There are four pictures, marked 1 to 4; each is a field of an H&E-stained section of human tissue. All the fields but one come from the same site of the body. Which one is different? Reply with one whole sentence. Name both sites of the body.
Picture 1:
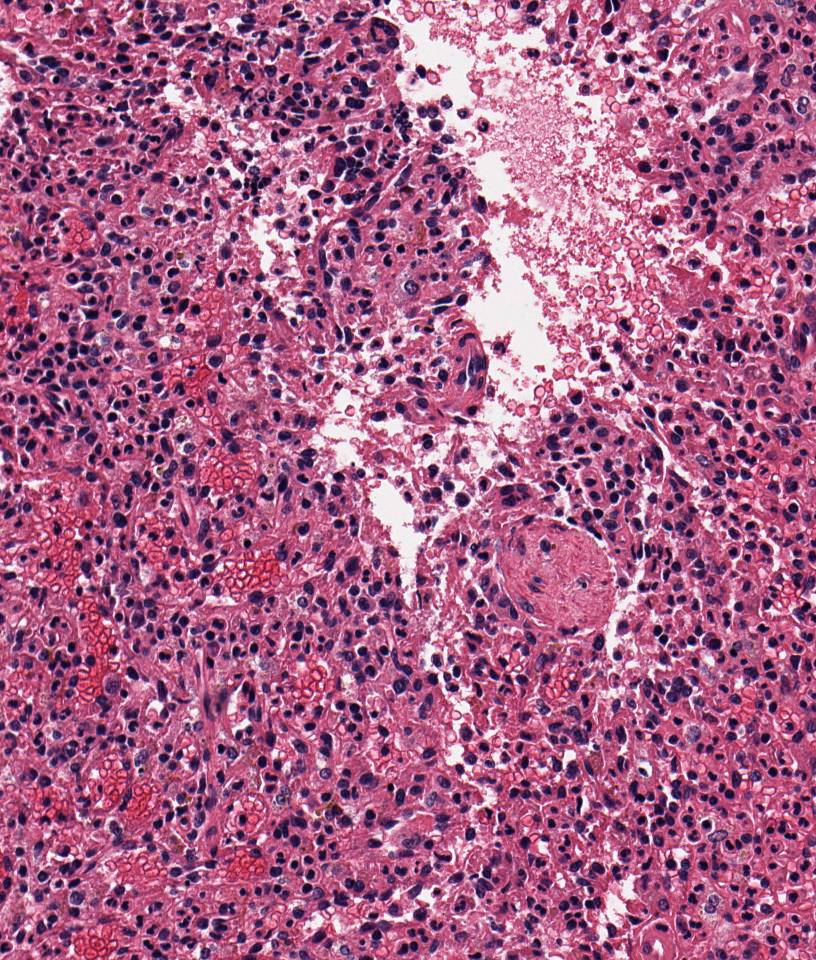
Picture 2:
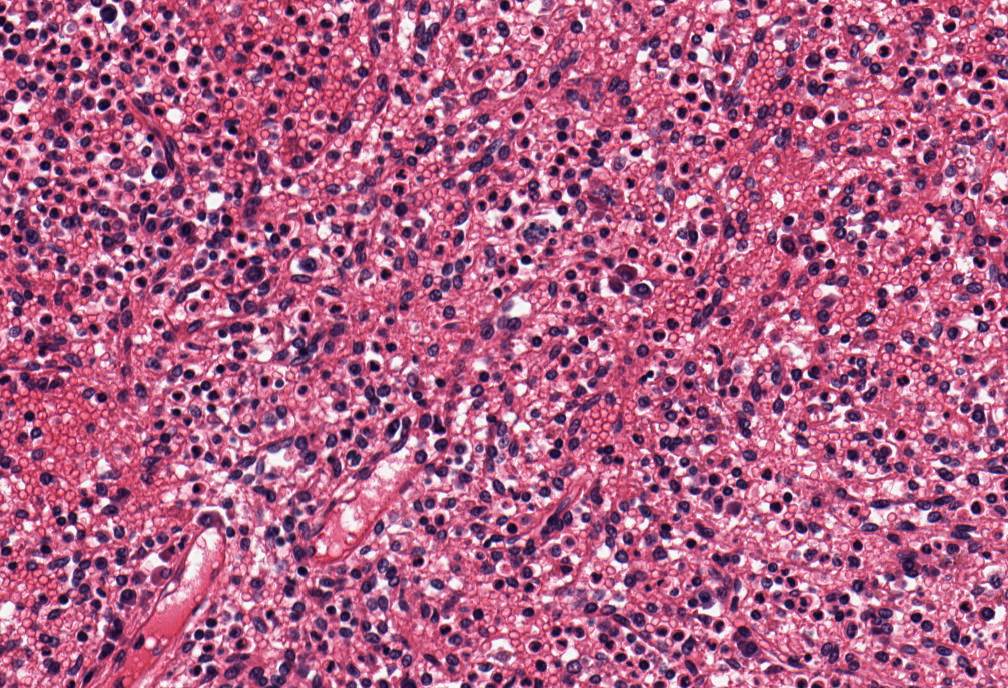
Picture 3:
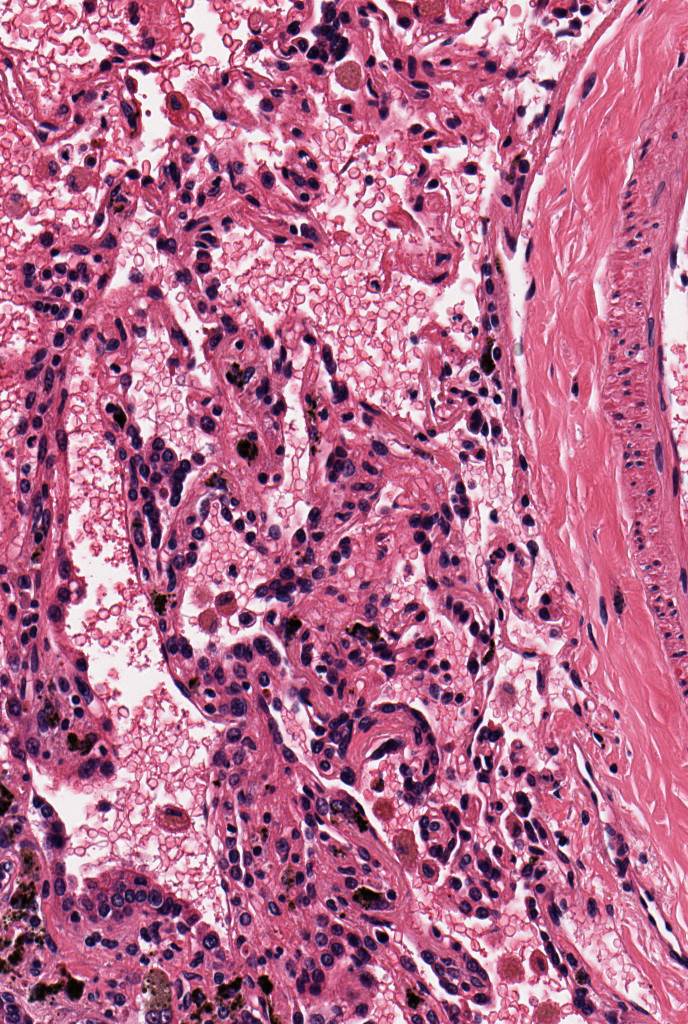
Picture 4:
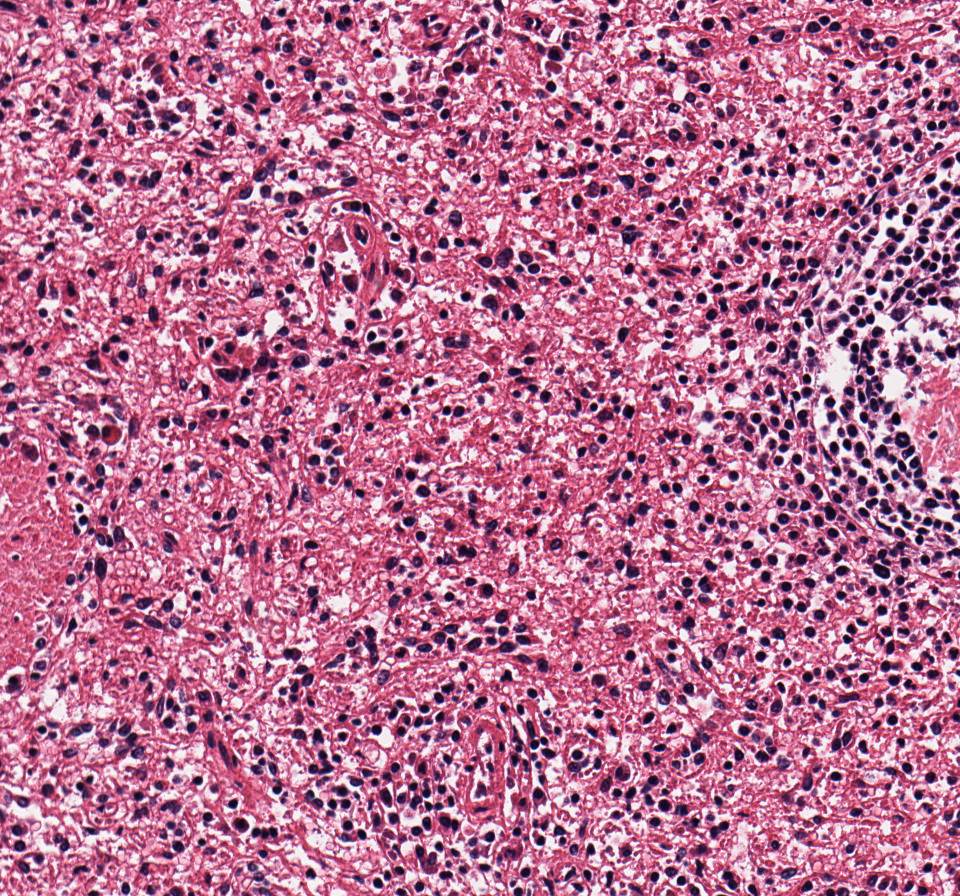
Unlike the rest, which come from the spleen, picture 3 comes from the lung.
